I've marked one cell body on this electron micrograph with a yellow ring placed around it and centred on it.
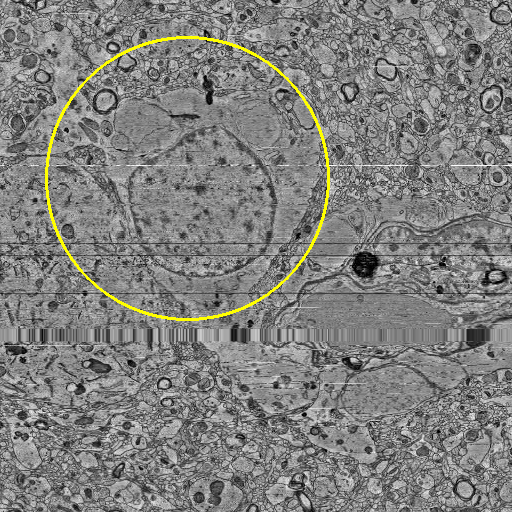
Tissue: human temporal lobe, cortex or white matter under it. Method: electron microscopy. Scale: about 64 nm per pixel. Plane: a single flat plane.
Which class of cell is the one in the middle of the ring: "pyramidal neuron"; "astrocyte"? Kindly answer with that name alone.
astrocyte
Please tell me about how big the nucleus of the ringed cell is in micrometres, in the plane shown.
In this plane, the nucleus measures approximately 10 micrometres across.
